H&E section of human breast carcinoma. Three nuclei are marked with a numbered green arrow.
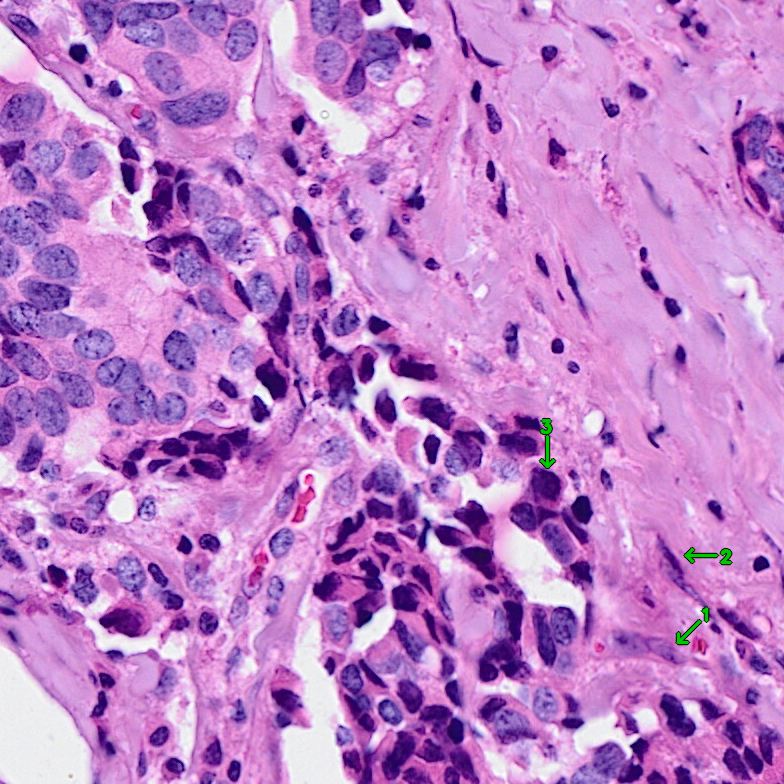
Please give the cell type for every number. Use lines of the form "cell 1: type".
cell 1: endothelial cell
cell 2: fibroblast
cell 3: carcinoma cell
